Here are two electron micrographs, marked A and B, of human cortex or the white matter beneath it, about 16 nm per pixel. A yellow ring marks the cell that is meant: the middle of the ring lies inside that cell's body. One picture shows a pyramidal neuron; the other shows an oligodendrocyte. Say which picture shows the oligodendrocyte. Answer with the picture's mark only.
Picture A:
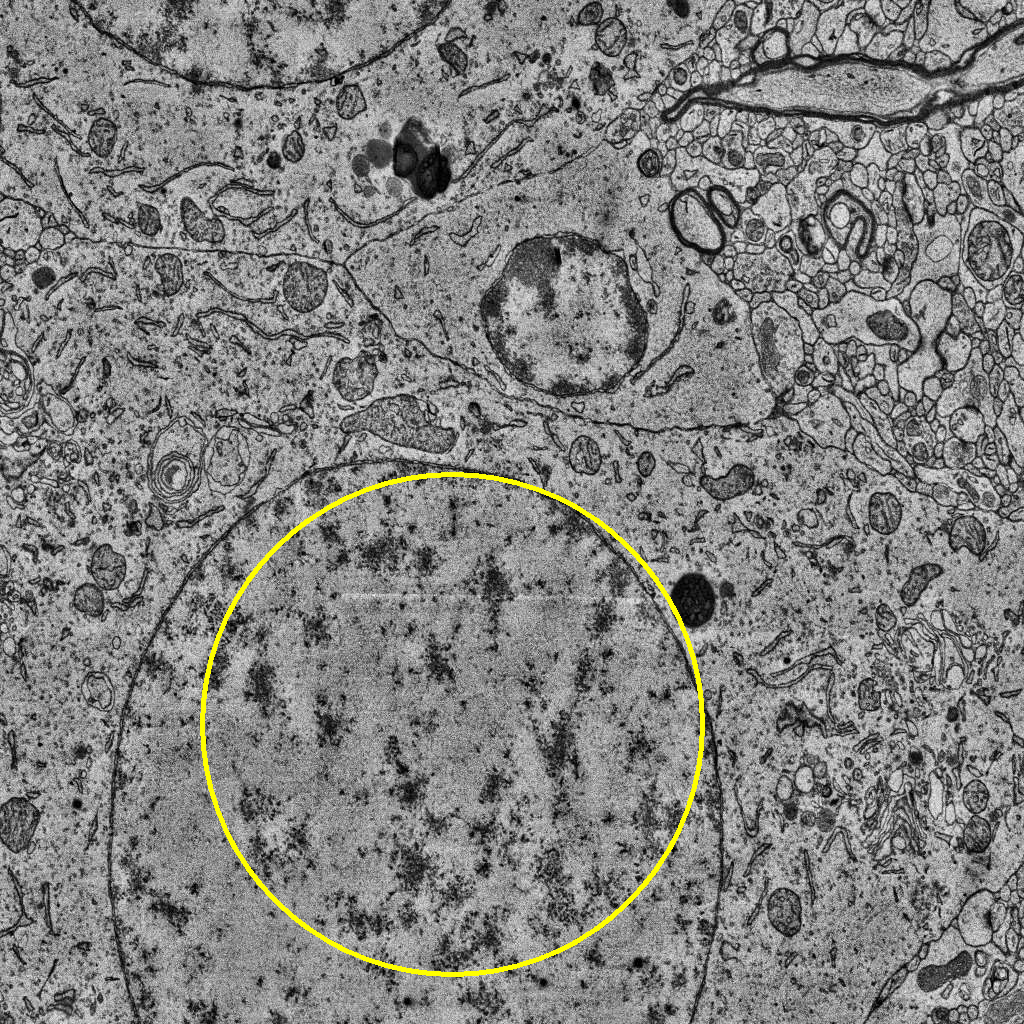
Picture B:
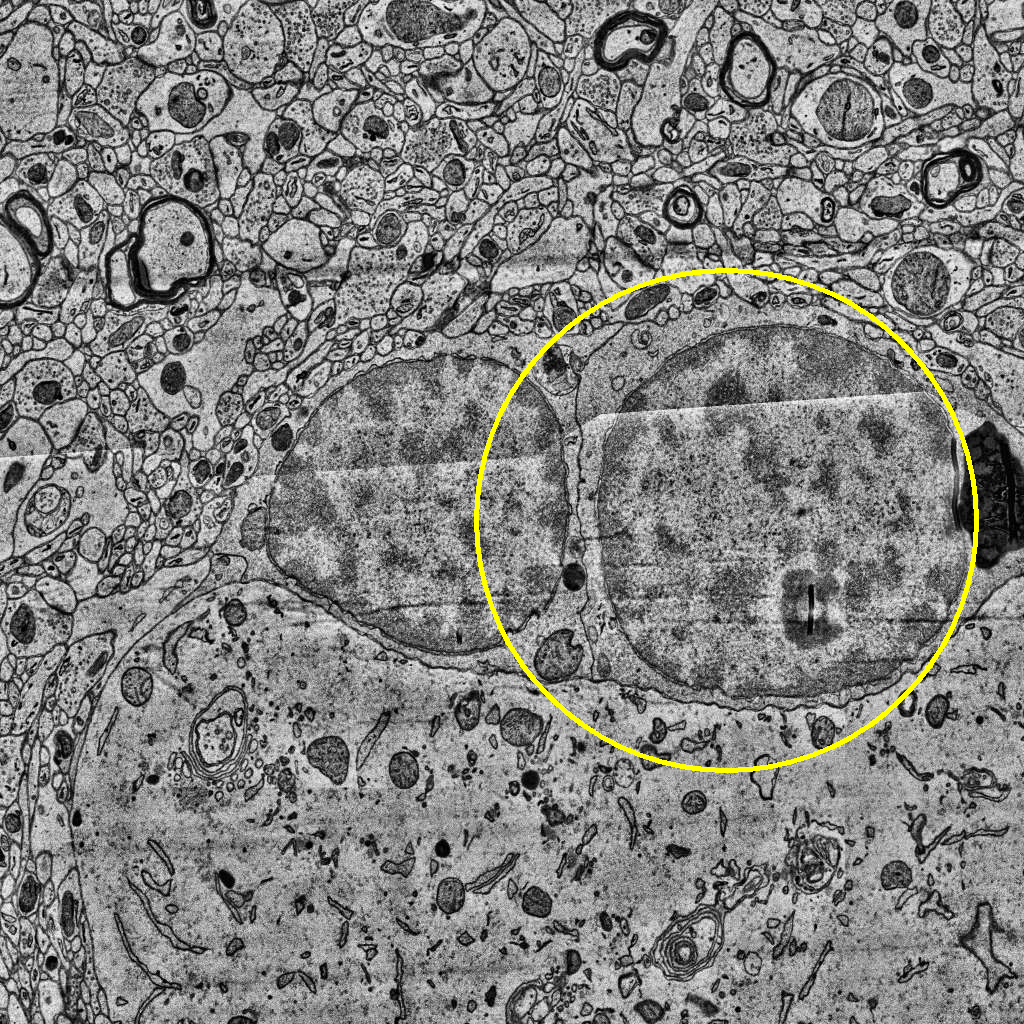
B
